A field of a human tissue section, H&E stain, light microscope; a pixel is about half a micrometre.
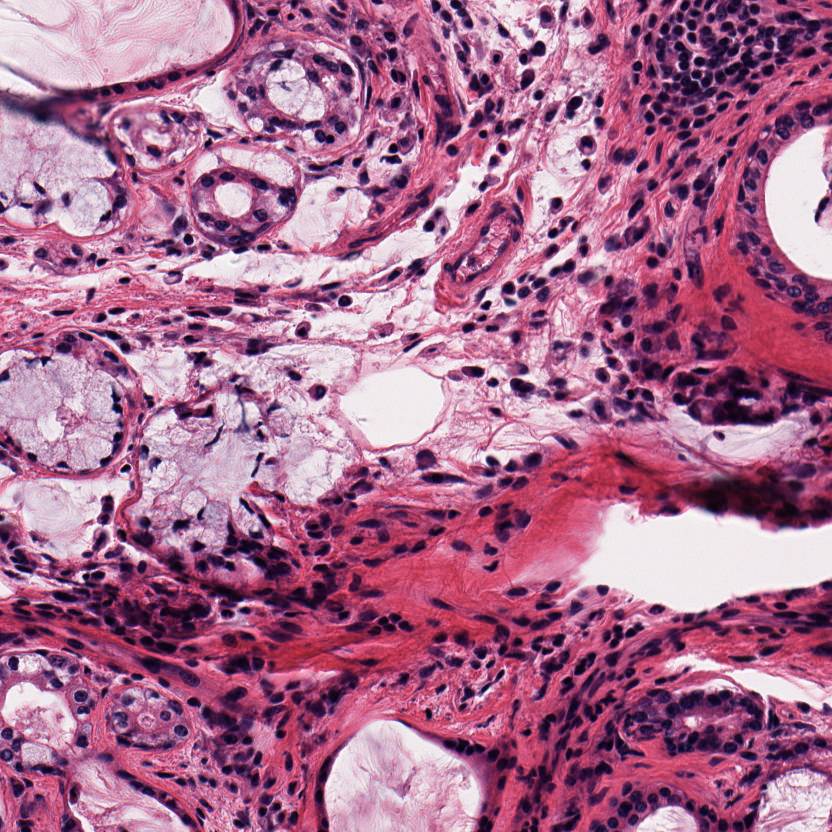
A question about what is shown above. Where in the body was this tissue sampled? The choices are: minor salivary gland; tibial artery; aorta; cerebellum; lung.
minor salivary gland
